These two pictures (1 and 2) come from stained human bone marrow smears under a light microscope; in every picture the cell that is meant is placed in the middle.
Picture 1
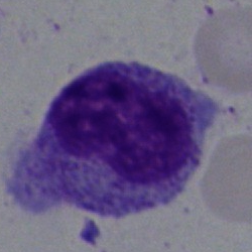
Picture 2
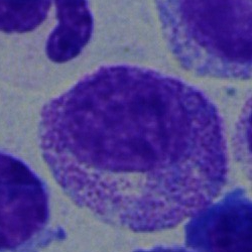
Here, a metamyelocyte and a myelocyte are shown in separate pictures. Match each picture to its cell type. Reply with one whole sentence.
It is picture 1 that shows a metamyelocyte, and picture 2 that shows a myelocyte.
